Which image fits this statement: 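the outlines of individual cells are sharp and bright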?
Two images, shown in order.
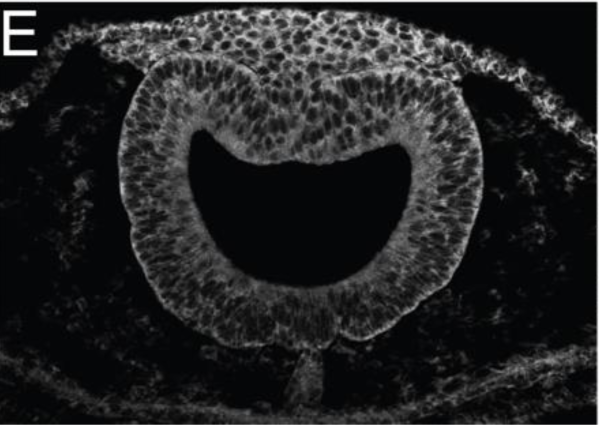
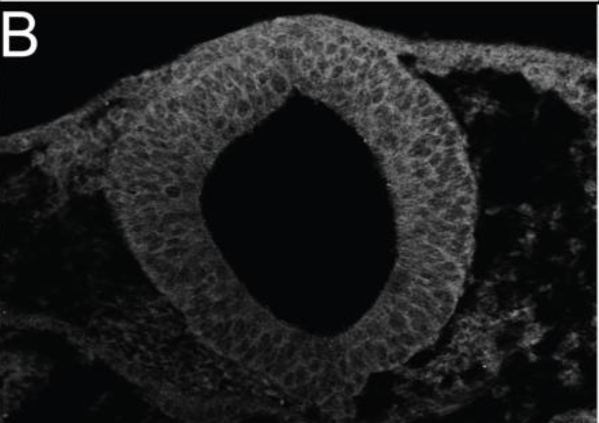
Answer: The first image.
